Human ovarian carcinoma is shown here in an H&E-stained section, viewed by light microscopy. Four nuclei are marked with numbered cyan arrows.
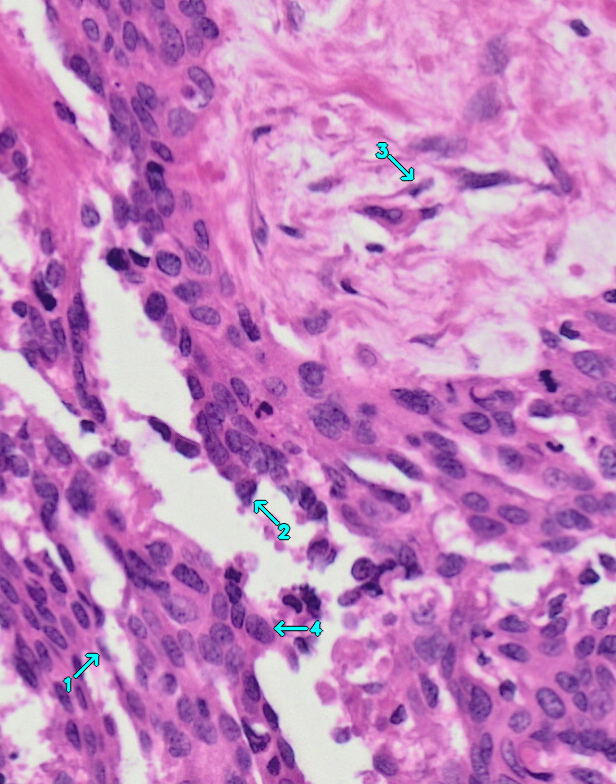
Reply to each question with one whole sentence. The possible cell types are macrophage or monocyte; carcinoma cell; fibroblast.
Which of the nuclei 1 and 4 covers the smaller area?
It is nucleus 1; nucleus 4 has about 2.5 times its area.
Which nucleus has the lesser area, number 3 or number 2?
The smaller nucleus is 3, and 2 covers roughly 2 times its area.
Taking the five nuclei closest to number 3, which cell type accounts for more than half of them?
Fibroblasts make up most of the five nuclei closest to number 3.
